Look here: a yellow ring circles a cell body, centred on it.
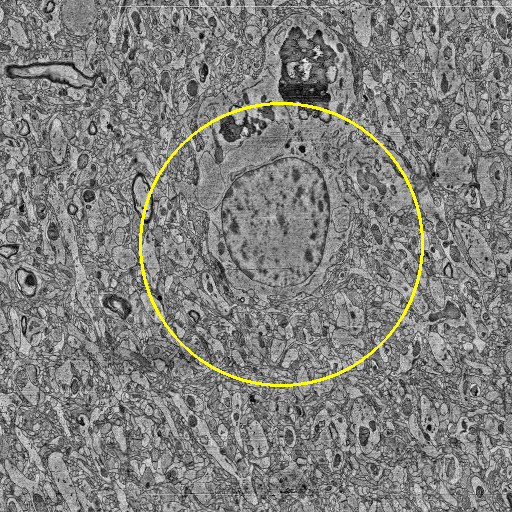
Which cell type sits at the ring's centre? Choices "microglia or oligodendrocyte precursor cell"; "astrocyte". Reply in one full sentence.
The cell at the centre of the yellow ring in the picture is an astrocyte.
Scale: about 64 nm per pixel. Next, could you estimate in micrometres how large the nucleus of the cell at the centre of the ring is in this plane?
Roughly 9 by 7 micrometres is the size of the nucleus in this plane.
